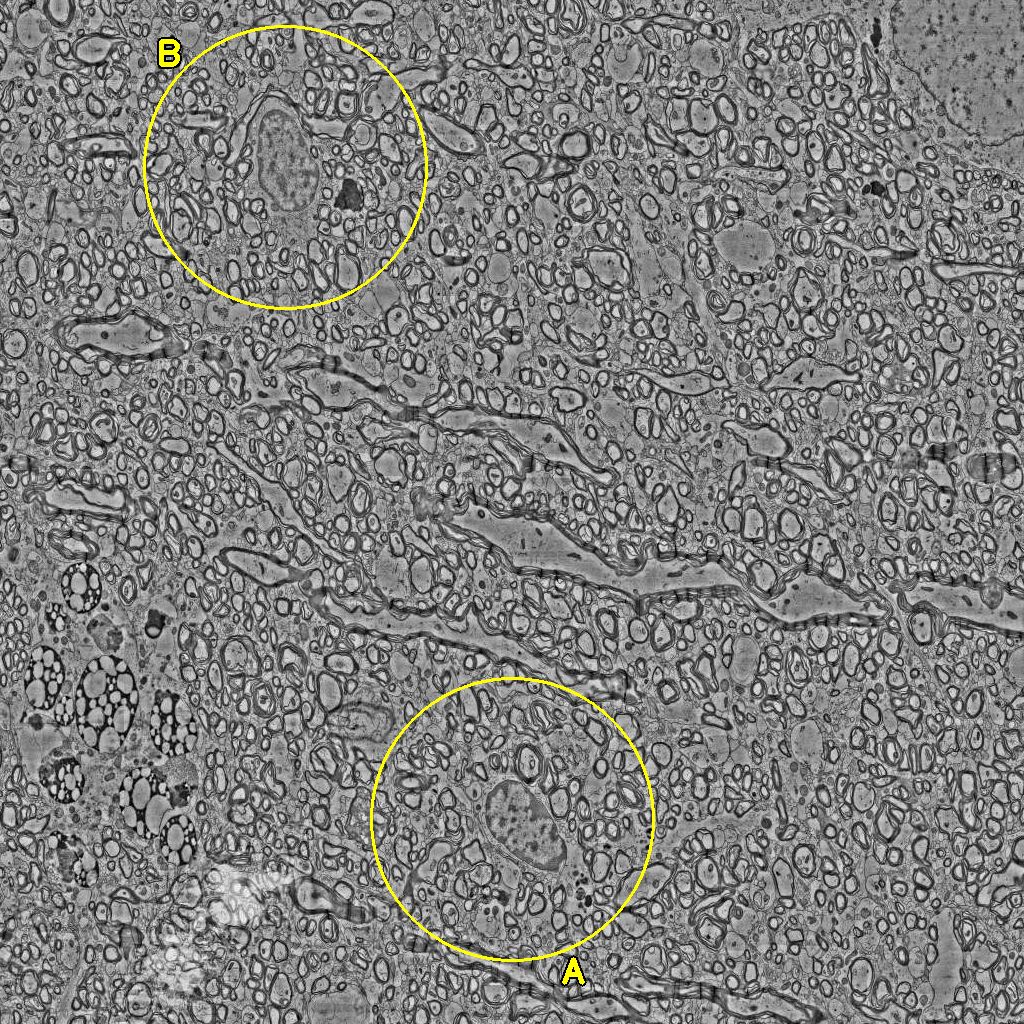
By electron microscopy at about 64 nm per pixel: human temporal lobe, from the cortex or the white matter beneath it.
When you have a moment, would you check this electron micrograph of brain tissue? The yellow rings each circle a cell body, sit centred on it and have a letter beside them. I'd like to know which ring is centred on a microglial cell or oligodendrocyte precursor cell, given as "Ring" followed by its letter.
Ring A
